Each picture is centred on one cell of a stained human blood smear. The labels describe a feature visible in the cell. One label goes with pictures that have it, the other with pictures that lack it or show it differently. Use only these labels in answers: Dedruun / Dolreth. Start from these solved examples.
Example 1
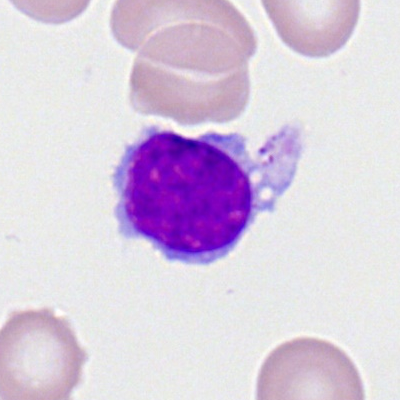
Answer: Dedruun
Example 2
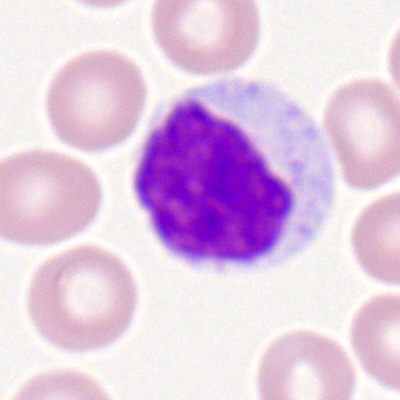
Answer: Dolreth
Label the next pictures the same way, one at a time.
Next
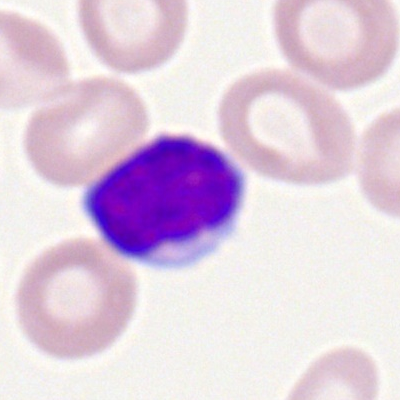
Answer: Dolreth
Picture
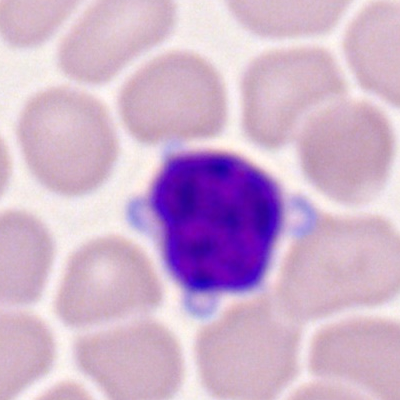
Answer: Dedruun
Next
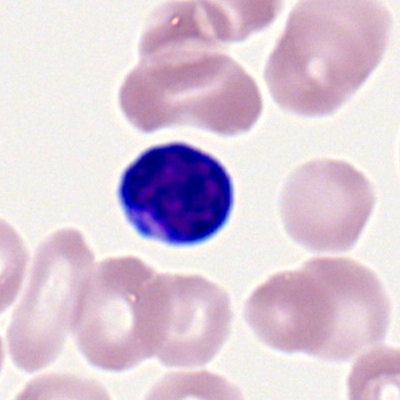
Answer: Dolreth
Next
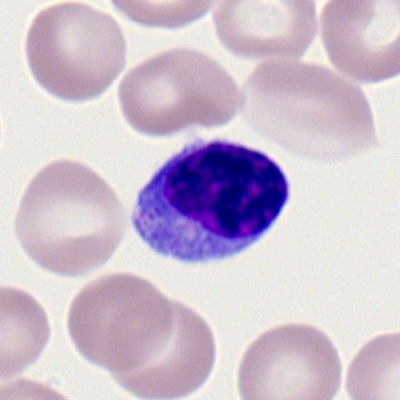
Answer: Dolreth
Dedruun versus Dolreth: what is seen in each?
In Dedruun: ragged outline or projections. In Dolreth: smooth outline.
